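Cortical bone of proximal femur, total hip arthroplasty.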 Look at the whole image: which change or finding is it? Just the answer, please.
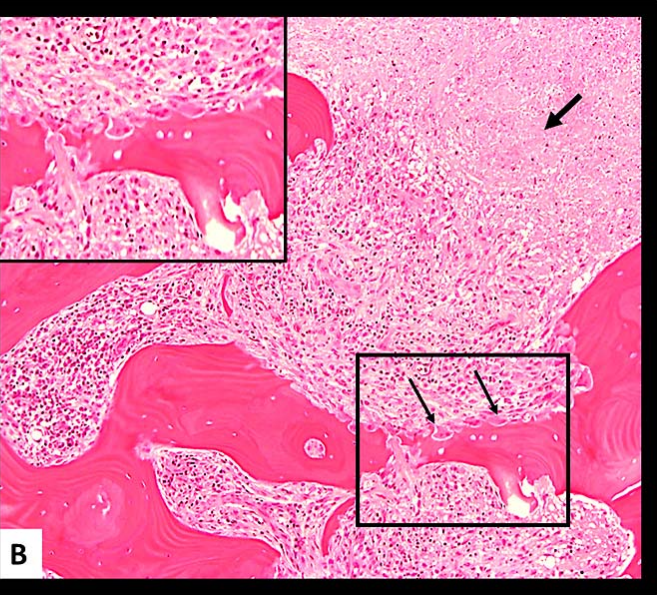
Mixed macrophage/lymphocytic infiltrate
